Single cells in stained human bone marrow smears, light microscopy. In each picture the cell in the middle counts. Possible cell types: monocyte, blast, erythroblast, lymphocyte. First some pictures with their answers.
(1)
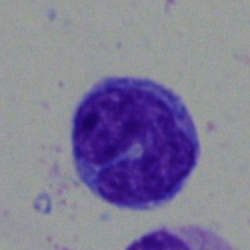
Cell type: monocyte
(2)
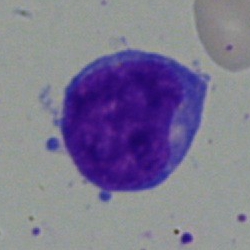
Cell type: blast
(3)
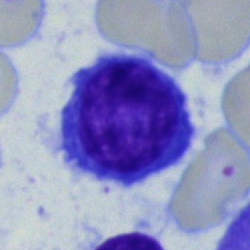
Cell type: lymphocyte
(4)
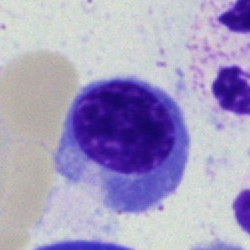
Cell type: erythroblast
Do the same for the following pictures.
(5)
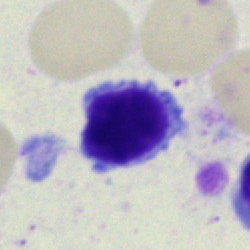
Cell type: lymphocyte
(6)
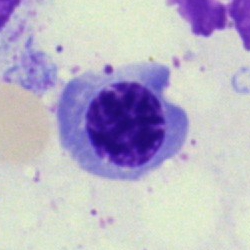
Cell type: erythroblast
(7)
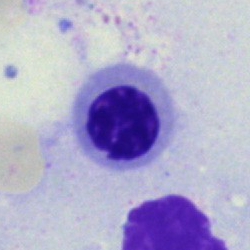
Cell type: erythroblast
